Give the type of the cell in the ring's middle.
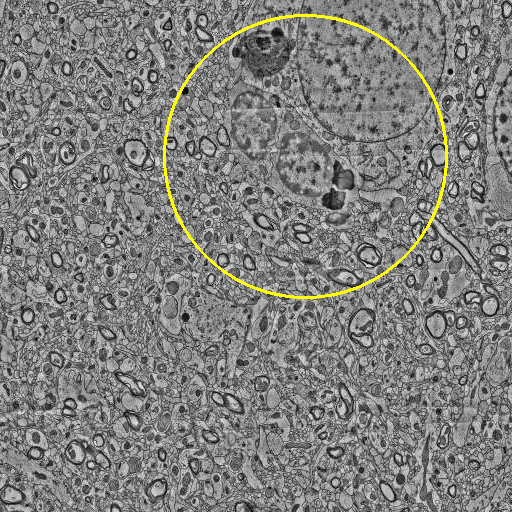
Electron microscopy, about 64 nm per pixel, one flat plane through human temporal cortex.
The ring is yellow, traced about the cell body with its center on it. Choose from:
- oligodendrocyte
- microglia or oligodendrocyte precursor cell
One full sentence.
Here, an oligodendrocyte is the cell lying at the center of the yellow ring.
